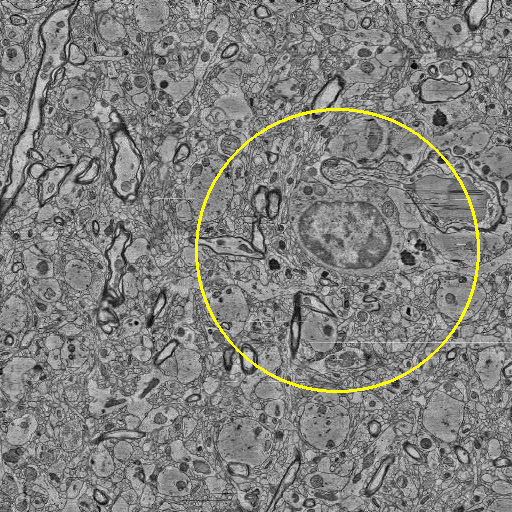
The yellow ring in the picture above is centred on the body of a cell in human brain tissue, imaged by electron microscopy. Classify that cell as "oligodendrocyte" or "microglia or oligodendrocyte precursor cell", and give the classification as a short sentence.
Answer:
The cell in the middle of the ring is an oligodendrocyte.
